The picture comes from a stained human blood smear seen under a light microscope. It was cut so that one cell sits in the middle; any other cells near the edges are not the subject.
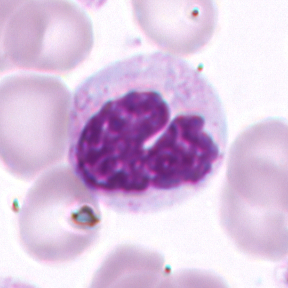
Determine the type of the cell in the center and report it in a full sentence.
Here the centrally located cell is a band neutrophil.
